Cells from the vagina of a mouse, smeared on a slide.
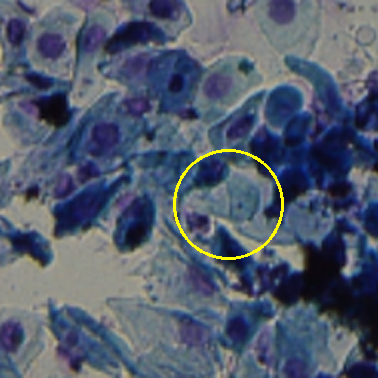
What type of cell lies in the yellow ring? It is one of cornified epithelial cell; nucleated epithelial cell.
The ringed cell is a cornified epithelial cell.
